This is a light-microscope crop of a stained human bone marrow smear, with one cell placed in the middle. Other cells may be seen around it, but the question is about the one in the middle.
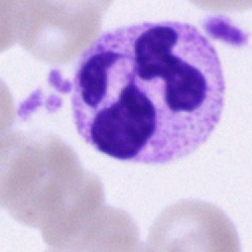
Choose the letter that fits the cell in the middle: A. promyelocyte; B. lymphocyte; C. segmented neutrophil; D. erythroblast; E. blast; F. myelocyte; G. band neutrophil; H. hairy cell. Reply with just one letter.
C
